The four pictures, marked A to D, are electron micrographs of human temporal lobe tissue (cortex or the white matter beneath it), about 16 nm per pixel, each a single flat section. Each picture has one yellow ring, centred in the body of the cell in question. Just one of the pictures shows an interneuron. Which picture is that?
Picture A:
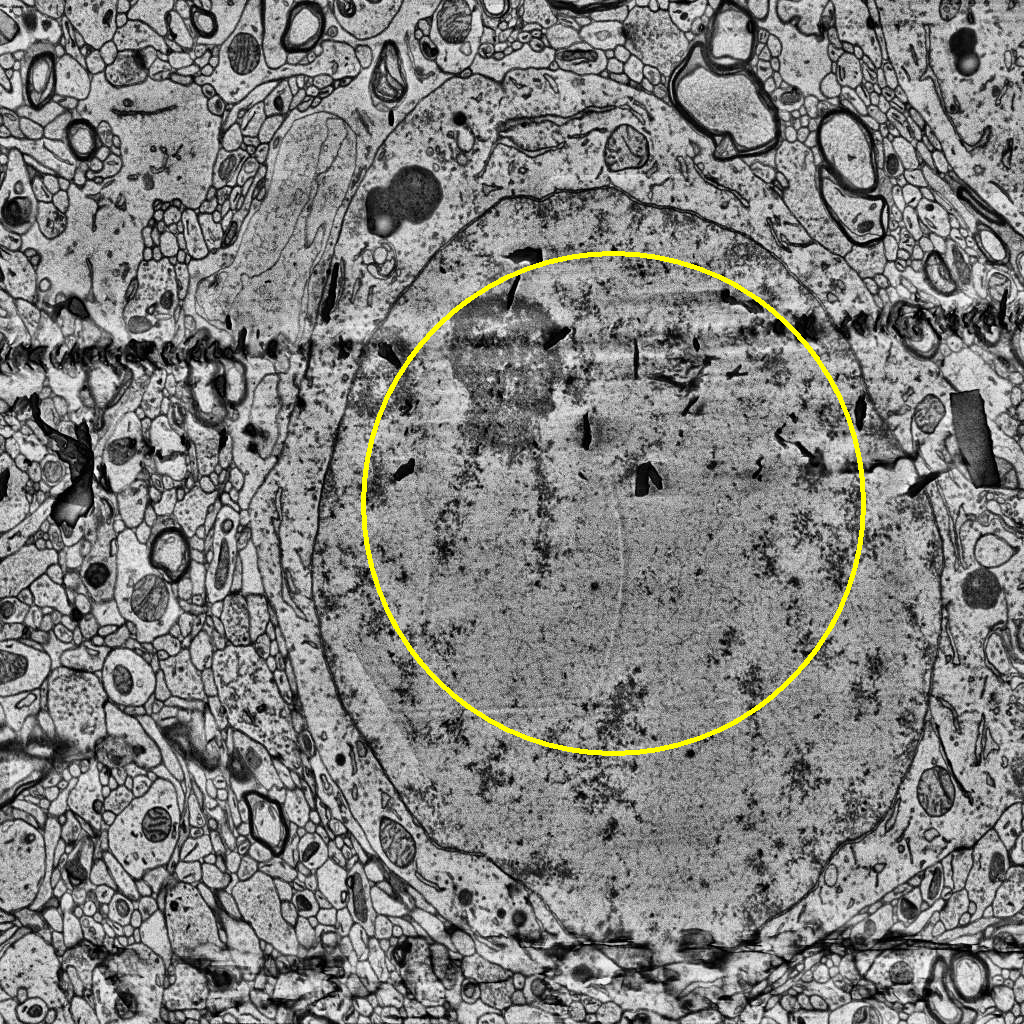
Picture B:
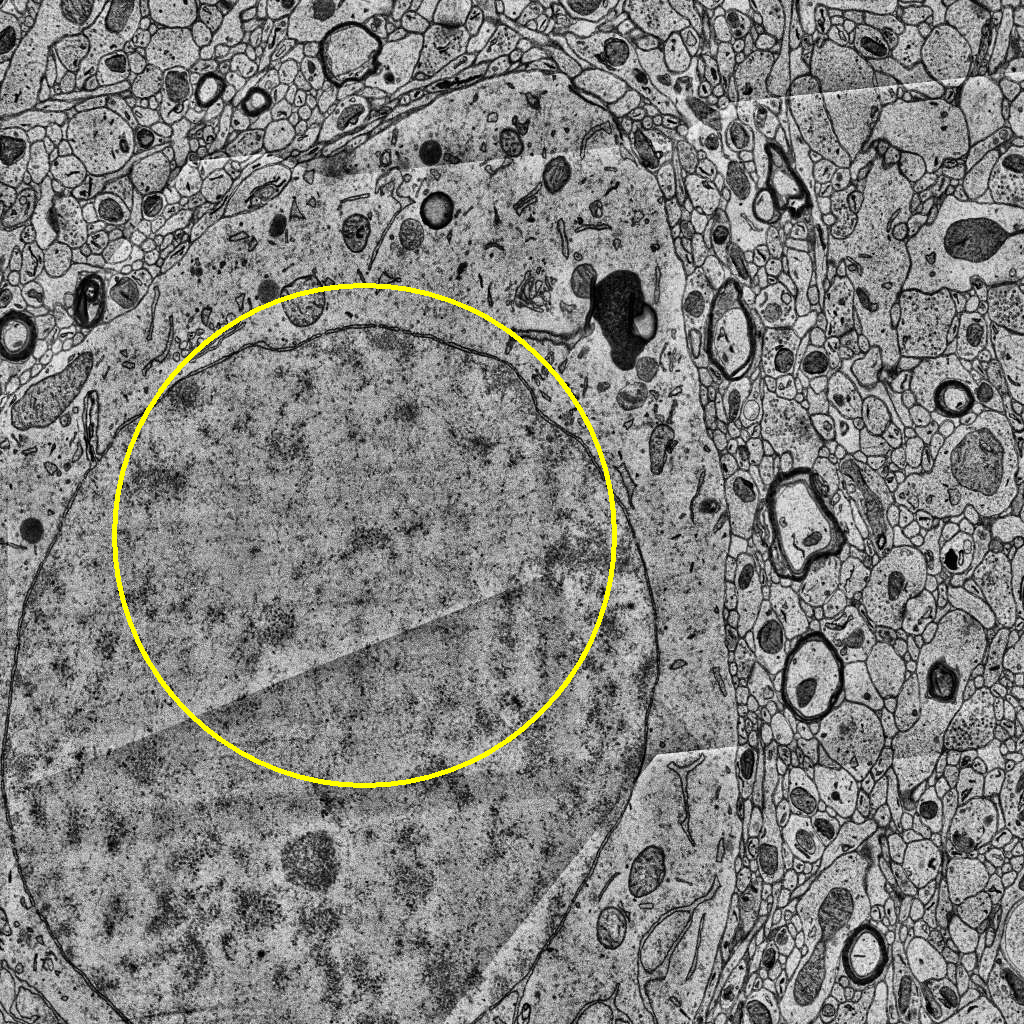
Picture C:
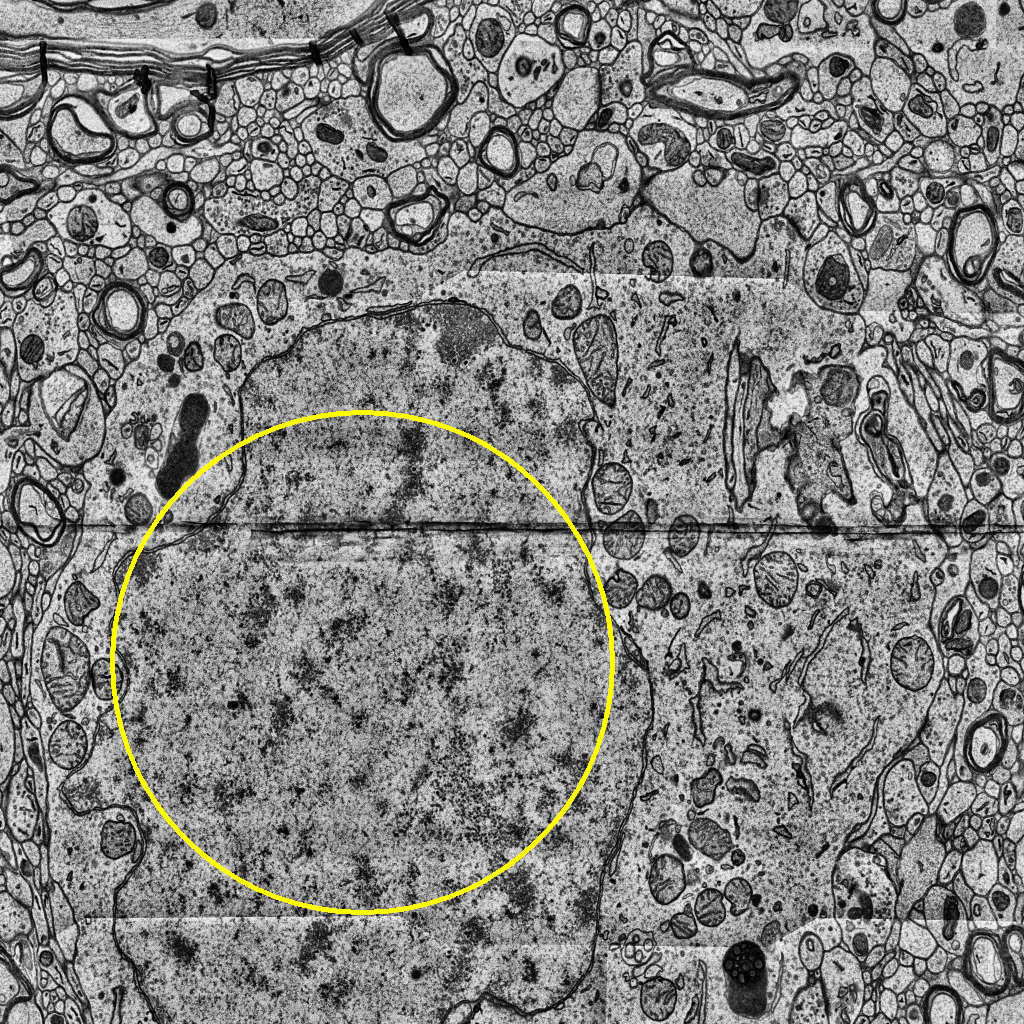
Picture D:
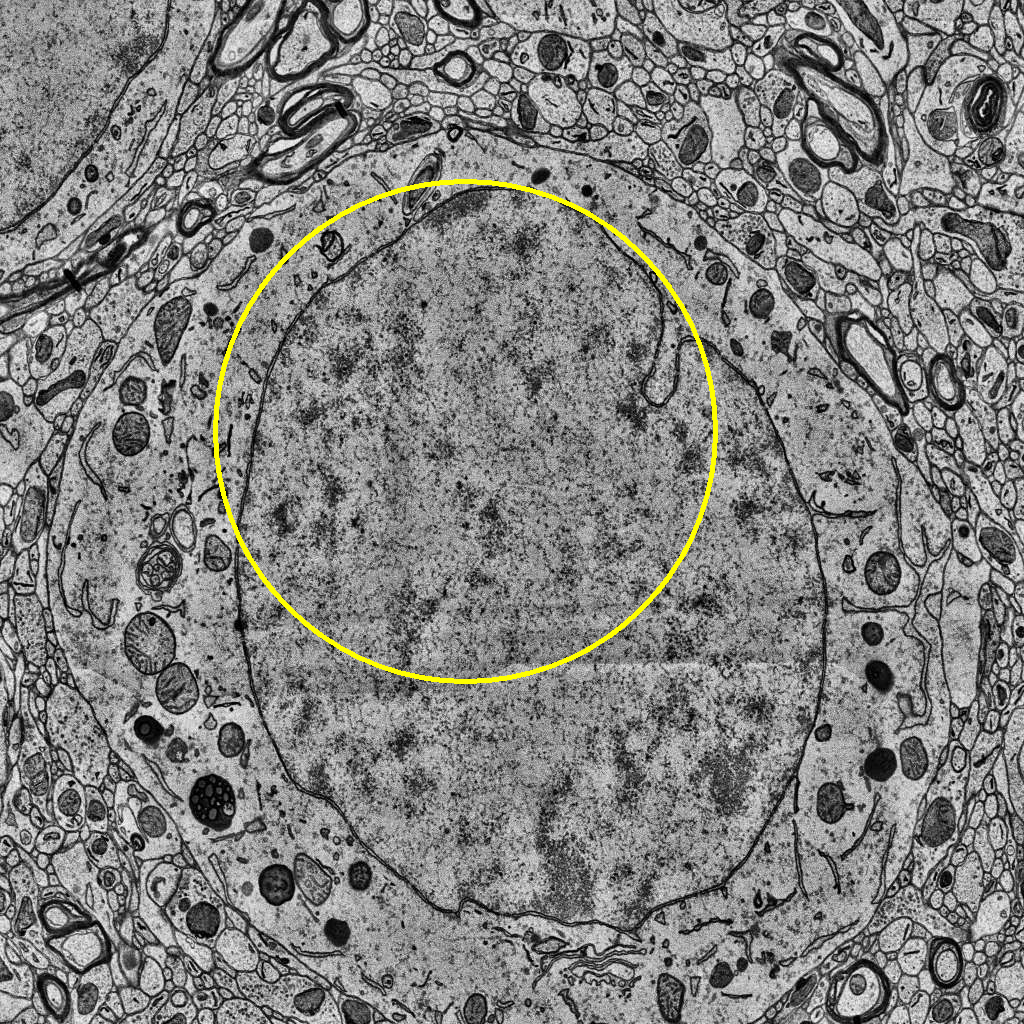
Picture C shows the interneuron.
